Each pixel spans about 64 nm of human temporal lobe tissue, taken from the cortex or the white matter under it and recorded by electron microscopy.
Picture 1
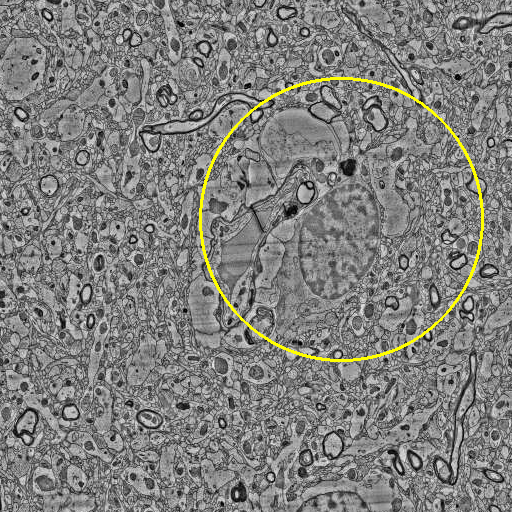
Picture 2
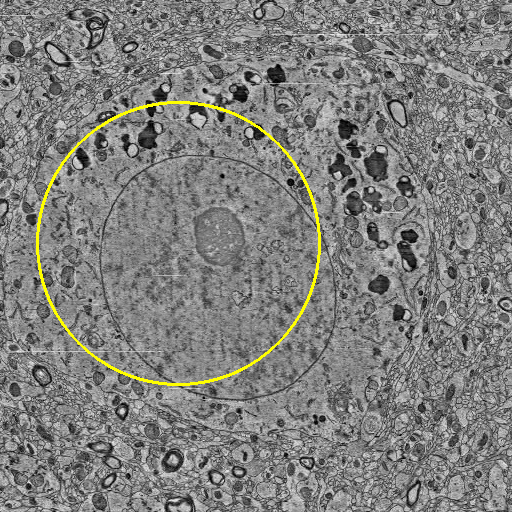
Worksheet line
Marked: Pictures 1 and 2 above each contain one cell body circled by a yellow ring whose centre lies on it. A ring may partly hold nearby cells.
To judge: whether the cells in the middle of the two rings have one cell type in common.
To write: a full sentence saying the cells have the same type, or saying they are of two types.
The cells in the middle of the rings in Picture 1 and Picture 2 are of two types.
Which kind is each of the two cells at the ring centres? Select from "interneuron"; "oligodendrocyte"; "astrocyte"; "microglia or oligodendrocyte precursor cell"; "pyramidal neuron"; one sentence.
The cell at the centre of the ring is an oligodendrocyte in the first picture and a pyramidal neuron in the second.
